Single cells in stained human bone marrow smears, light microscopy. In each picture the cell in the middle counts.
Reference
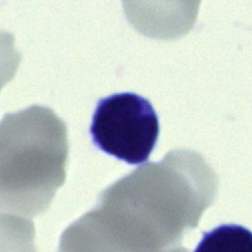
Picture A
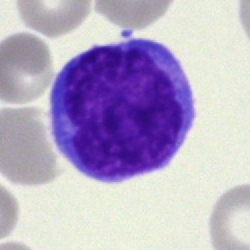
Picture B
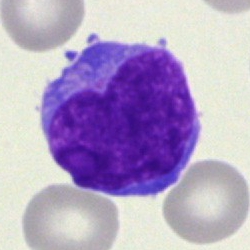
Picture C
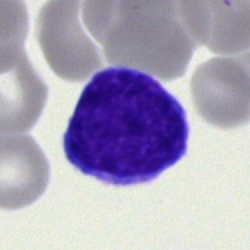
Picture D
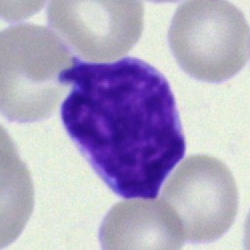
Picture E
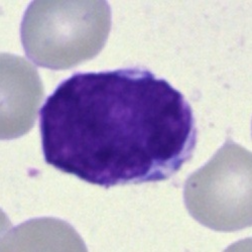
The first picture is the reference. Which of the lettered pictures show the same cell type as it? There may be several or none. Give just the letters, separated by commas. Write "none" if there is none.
C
